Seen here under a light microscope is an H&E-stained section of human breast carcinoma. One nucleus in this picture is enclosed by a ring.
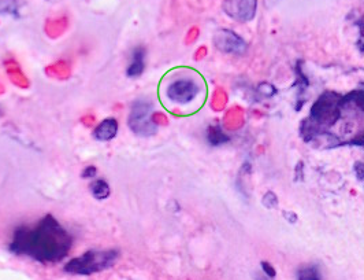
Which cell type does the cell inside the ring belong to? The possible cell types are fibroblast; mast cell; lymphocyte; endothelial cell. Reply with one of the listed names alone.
lymphocyte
